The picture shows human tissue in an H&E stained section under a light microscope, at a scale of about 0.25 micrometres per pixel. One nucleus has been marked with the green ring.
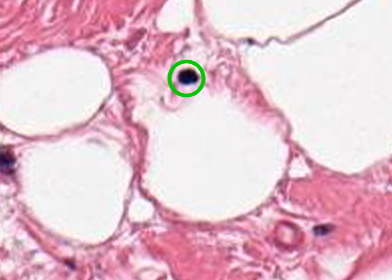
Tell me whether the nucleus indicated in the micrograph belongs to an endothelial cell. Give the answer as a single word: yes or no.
no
